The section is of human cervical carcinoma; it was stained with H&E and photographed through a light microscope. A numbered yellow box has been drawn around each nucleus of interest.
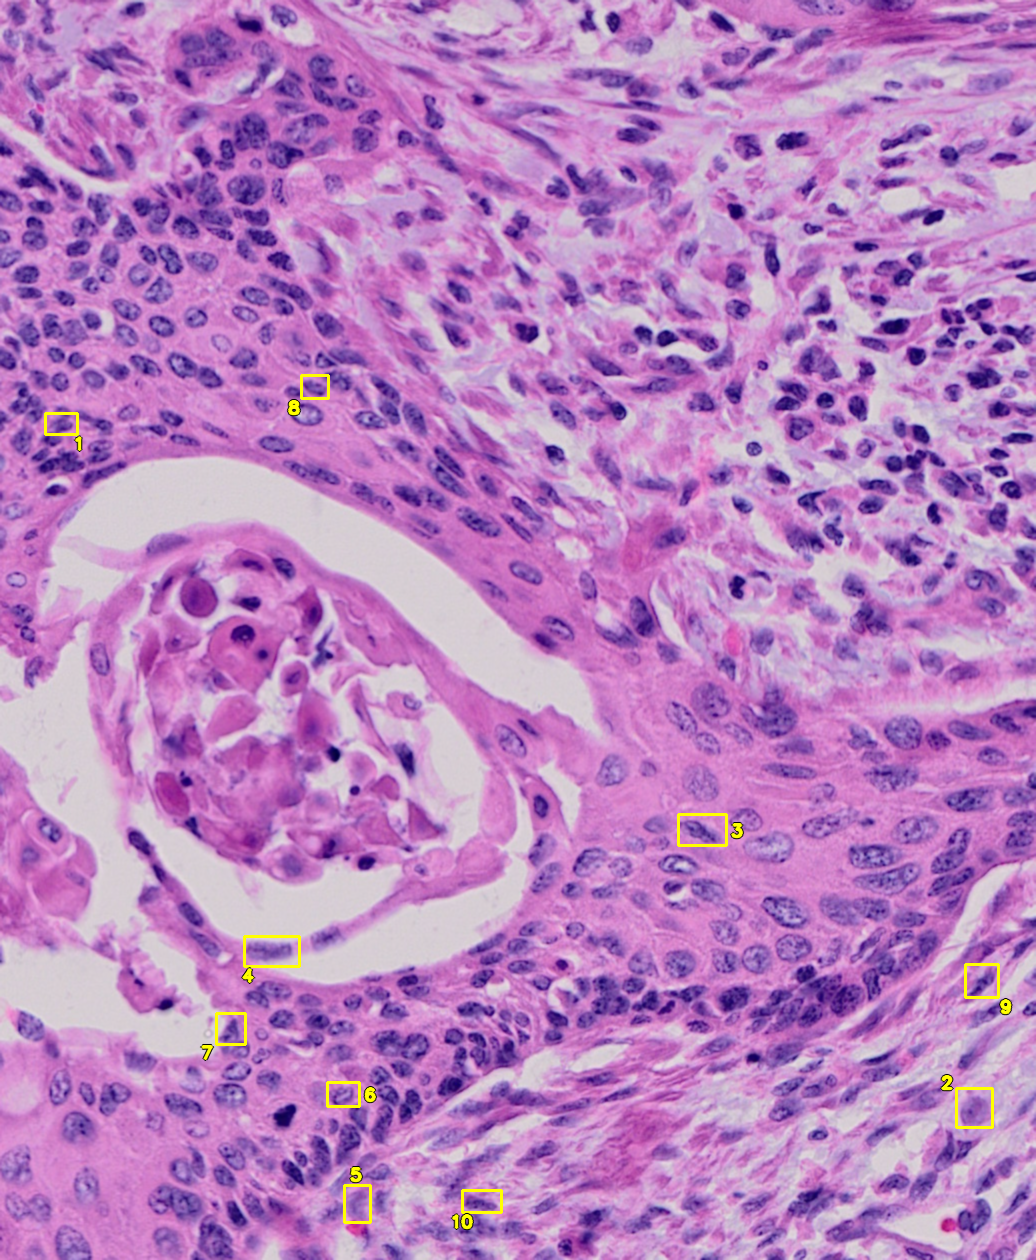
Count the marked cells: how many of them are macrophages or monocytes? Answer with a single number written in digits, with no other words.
0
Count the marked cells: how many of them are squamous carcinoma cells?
6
